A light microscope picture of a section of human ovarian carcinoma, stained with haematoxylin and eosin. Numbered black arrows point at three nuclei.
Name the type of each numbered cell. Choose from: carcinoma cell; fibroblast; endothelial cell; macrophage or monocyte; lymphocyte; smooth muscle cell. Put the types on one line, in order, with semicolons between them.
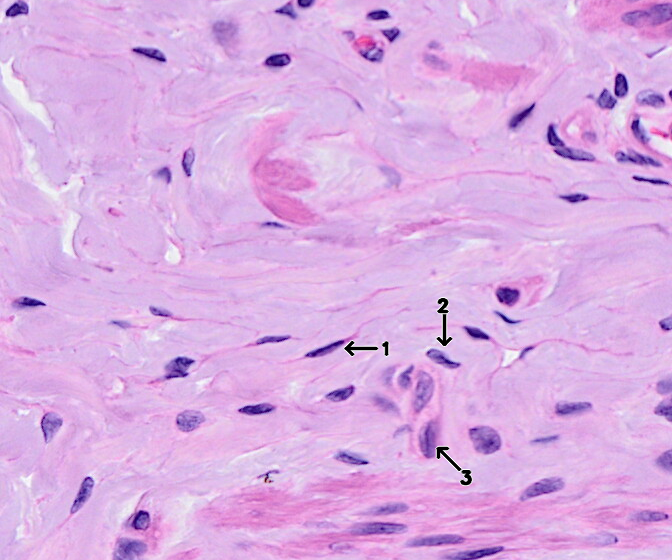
fibroblast; fibroblast; endothelial cell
